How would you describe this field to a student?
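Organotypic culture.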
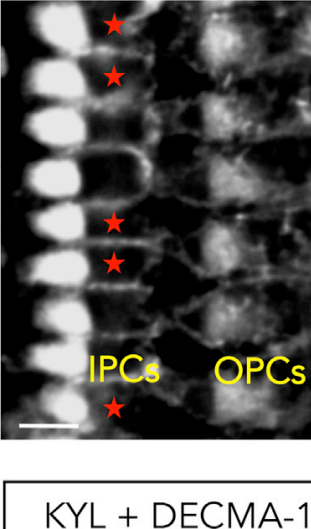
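Along the left edge lies a vertical column of bright, rounded, closely stacked profiles. To their right, thin bright lines outline a row of cell profiles. Further right lies a second row of larger, dimmer, hazy profiles. Fine bright strands run horizontally between the two rows, with dark spaces between them in places.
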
